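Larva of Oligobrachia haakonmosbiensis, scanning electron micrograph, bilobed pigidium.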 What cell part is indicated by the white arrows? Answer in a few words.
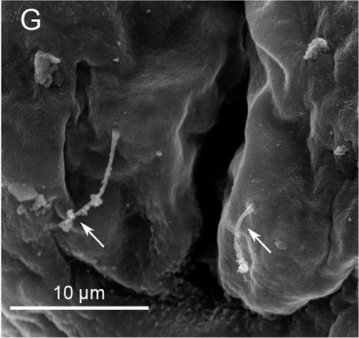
One cilium.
